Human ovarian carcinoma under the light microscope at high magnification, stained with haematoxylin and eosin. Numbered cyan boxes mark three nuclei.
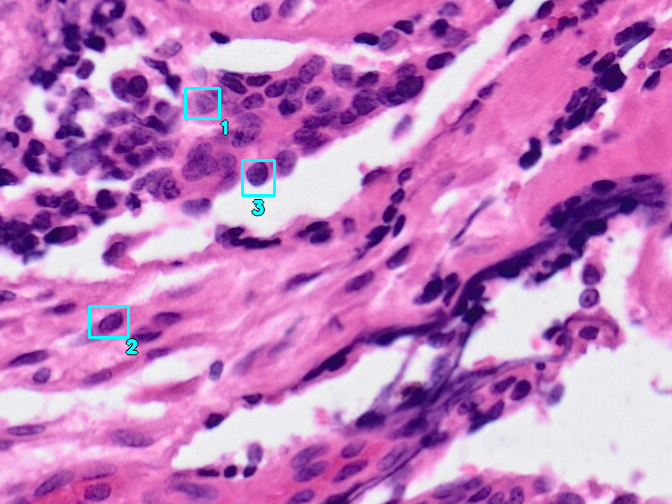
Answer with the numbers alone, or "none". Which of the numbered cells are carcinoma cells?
1, 3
